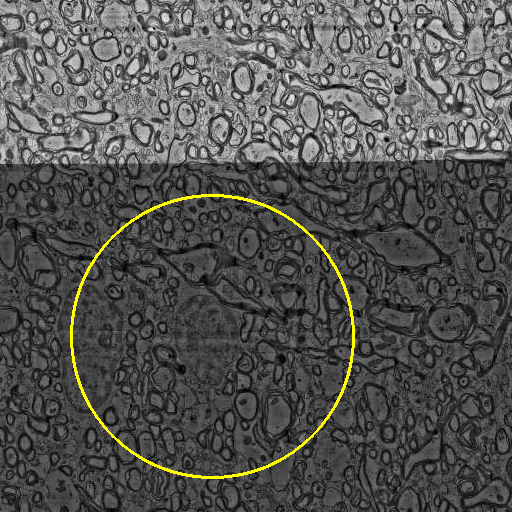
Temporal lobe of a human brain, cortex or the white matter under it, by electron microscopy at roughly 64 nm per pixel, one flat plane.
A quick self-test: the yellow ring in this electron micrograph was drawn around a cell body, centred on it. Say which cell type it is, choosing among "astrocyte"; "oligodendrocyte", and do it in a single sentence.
The yellow-ringed cell is an oligodendrocyte.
